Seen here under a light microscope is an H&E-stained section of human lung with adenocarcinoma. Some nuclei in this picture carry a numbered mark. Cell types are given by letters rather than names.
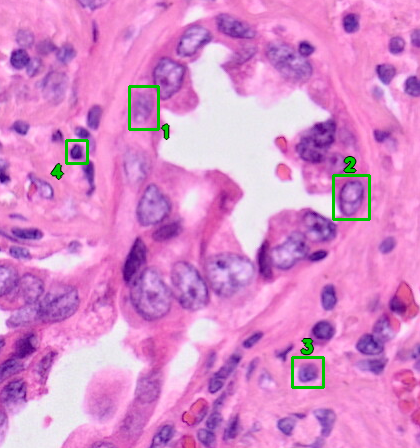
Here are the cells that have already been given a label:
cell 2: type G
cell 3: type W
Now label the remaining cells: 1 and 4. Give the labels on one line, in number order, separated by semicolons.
type G; type W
